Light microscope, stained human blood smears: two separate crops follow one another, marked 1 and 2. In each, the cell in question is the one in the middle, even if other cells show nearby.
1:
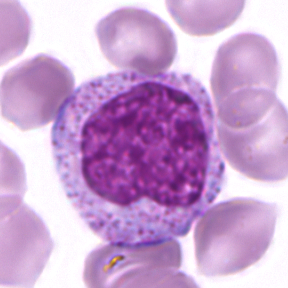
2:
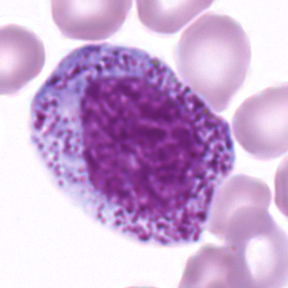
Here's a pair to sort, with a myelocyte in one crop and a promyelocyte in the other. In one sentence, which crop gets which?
Crop 1 is a myelocyte, and, separately, crop 2 is a promyelocyte.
